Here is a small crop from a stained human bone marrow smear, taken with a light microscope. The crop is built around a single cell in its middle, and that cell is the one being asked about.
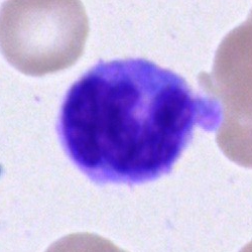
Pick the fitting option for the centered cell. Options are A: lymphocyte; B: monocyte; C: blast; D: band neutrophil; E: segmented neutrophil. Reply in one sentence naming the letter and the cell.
Option B gets it right: the cell in the middle is a monocyte.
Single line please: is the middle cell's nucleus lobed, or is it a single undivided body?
Two or more lobes make up the nucleus of this cell.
